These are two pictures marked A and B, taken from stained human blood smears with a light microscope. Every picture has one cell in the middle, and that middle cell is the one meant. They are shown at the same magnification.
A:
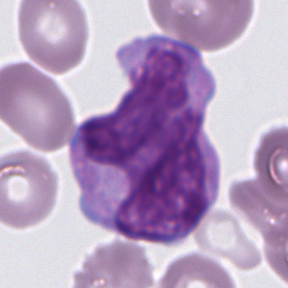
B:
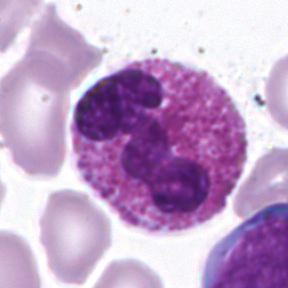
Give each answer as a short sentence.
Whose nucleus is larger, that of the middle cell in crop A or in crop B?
Larger is the nucleus in crop A, at roughly 1.5 times the area of the other.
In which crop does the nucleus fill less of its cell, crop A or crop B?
It is the cell in crop B that is filled less by its nucleus.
